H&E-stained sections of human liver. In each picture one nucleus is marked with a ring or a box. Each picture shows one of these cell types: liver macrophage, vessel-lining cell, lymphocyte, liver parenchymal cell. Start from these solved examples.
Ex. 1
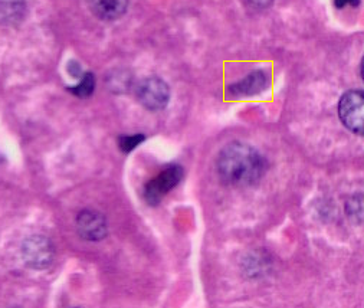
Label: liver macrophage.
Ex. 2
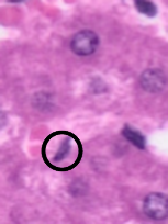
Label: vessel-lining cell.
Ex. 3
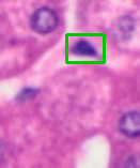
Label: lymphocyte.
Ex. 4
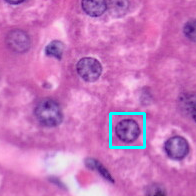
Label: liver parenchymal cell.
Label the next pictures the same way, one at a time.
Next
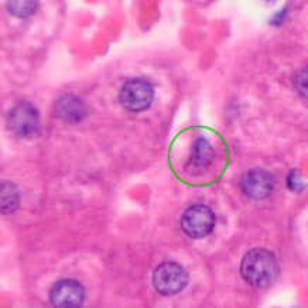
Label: liver macrophage.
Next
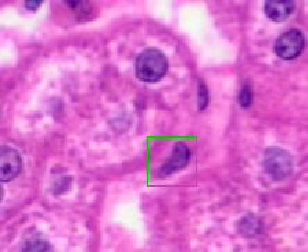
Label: liver macrophage.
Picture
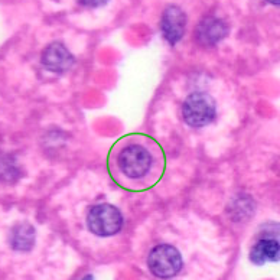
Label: liver parenchymal cell.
